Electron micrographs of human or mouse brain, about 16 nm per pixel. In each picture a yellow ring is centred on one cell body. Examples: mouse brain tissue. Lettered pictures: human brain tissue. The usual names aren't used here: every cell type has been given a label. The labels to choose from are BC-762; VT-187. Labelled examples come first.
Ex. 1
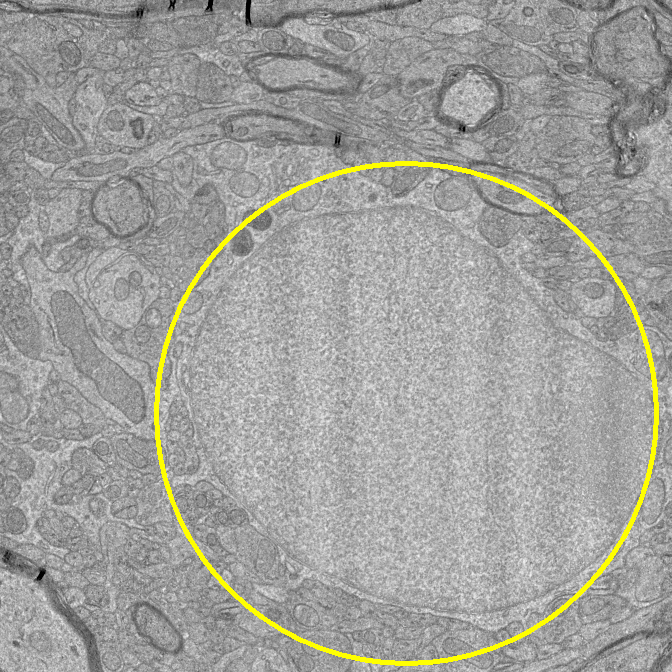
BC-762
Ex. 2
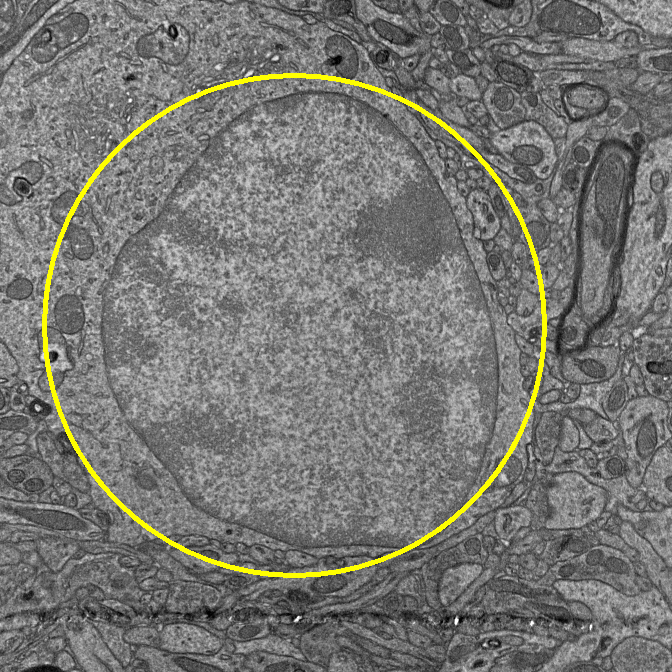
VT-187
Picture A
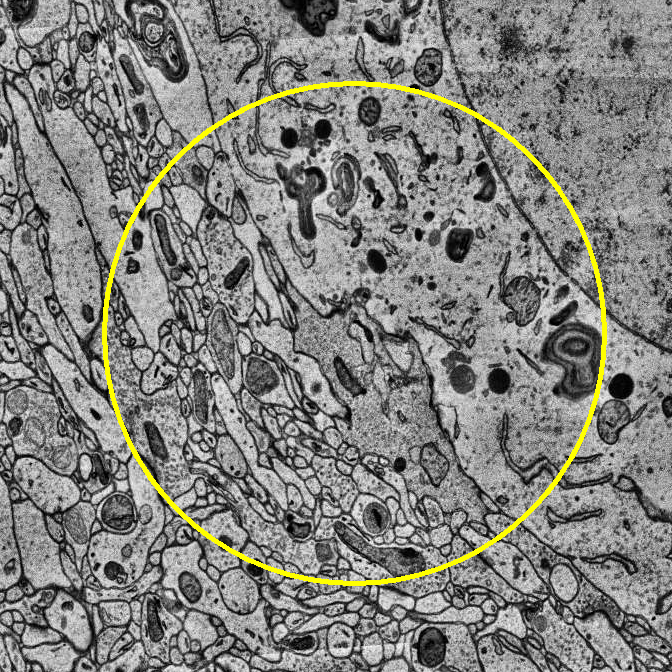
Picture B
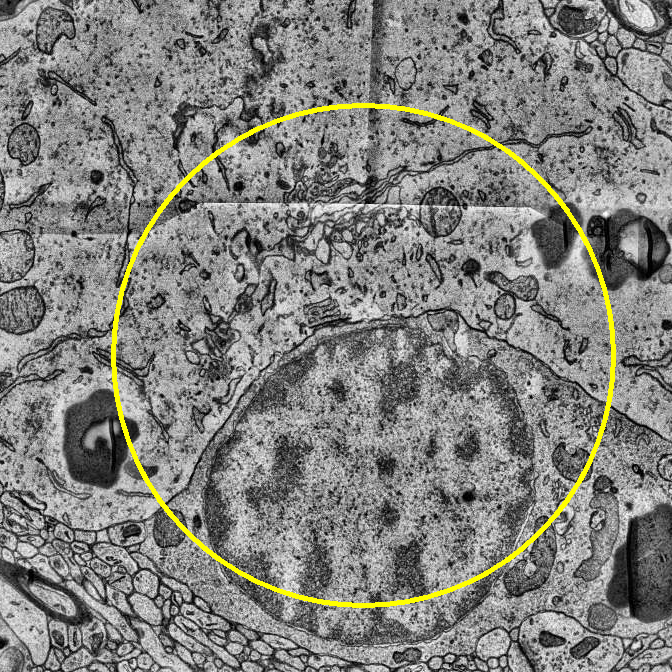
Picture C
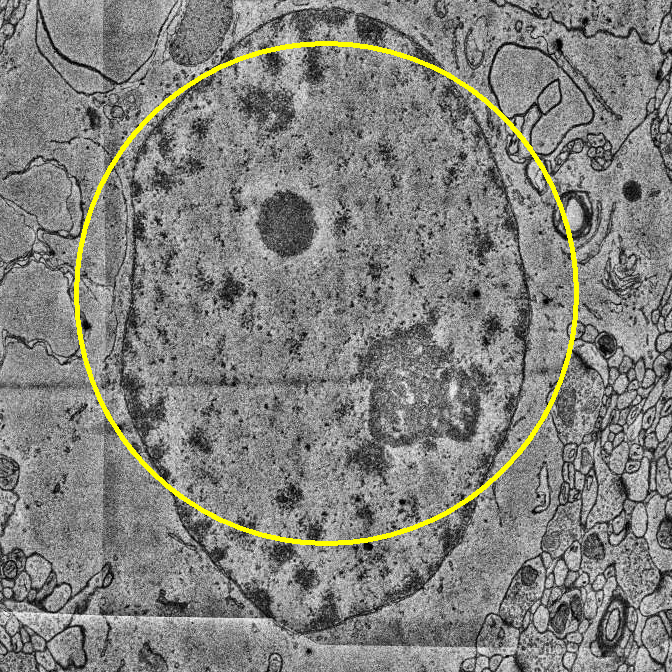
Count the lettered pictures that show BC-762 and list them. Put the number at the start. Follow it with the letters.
1, namely C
